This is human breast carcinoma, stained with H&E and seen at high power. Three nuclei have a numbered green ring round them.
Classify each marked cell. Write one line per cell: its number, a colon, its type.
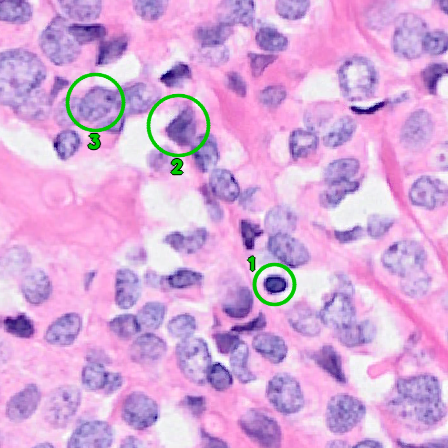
1: lymphocyte
2: carcinoma cell
3: carcinoma cell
